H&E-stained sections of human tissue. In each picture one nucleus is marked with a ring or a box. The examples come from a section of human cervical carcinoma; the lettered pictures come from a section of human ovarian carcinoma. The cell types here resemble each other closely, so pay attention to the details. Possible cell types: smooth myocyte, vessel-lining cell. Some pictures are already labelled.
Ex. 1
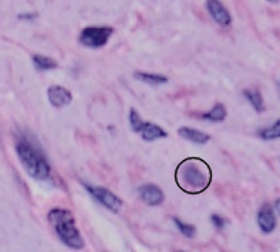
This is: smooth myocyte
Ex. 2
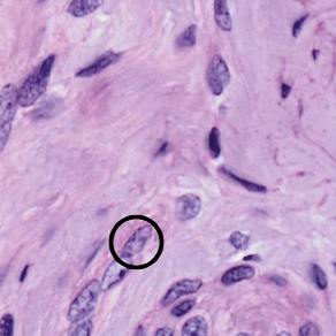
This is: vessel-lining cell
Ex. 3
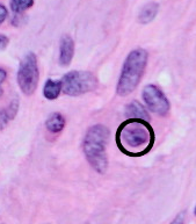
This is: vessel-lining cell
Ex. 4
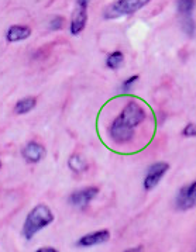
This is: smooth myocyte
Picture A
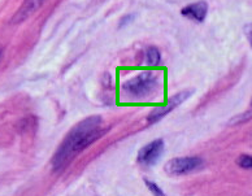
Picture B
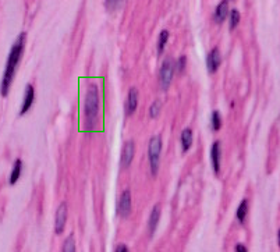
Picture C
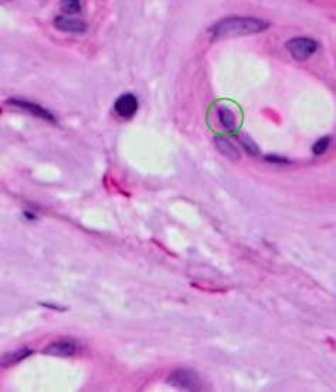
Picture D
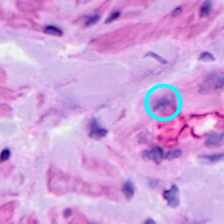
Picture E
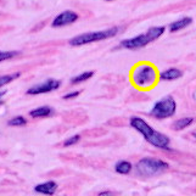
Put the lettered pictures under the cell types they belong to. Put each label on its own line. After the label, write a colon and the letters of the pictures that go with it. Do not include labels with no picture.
smooth myocyte: B, E
vessel-lining cell: A, C, D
